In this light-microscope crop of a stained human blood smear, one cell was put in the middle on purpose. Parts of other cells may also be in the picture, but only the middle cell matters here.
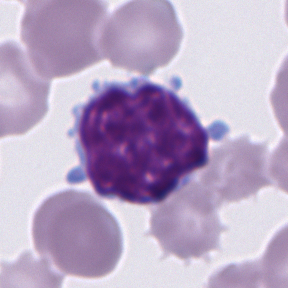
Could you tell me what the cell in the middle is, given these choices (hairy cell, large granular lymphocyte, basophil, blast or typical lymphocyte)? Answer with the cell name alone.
typical lymphocyte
